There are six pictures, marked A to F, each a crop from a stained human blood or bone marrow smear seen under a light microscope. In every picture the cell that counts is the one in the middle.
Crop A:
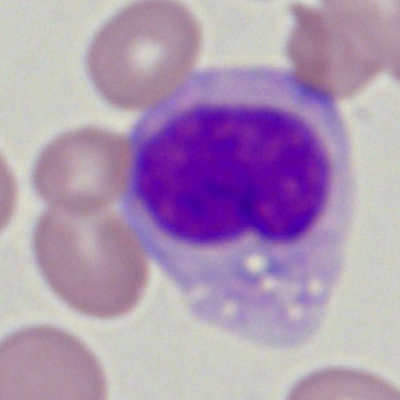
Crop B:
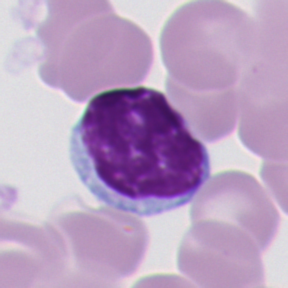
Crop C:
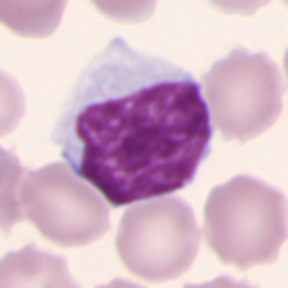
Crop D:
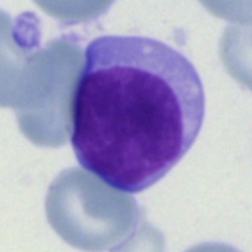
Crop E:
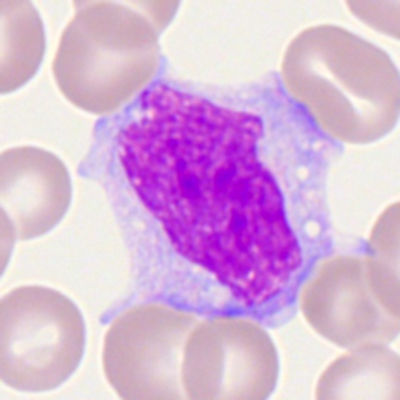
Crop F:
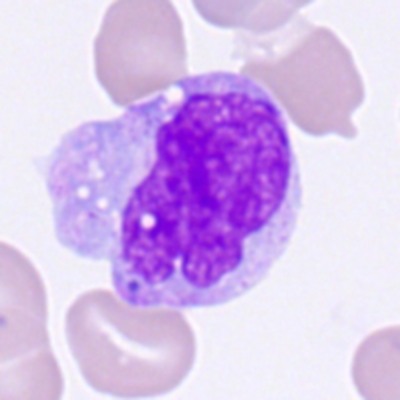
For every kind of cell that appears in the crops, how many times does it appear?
monocyte: 3
lymphocyte: 3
